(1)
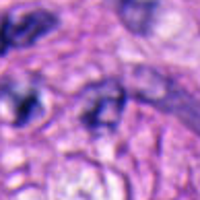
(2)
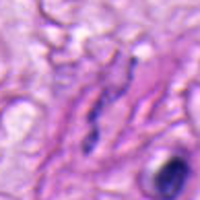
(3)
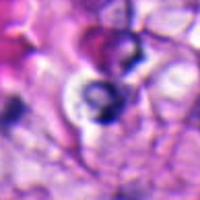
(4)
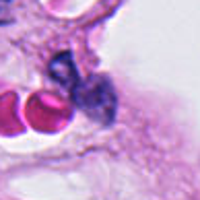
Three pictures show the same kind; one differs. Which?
Picture 4: a cytotrophoblast, while the others are vascular myocytes.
